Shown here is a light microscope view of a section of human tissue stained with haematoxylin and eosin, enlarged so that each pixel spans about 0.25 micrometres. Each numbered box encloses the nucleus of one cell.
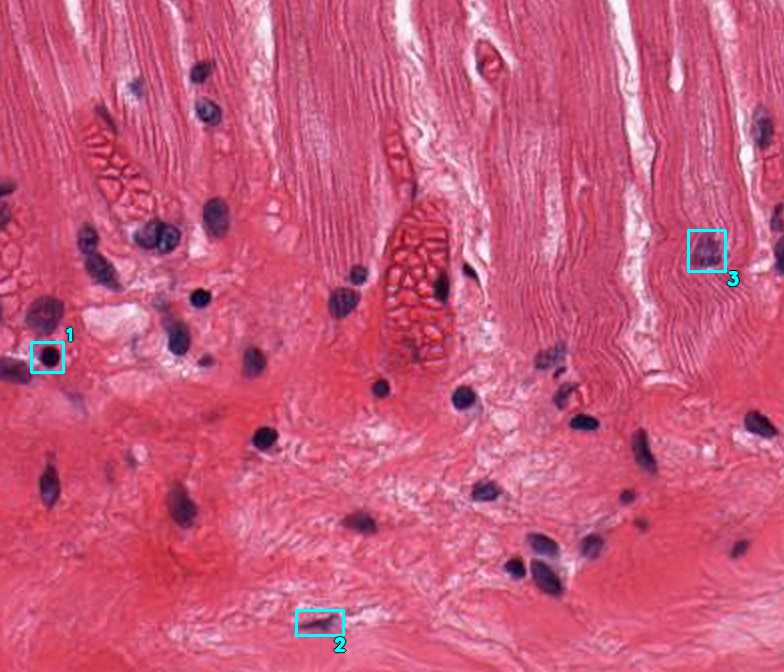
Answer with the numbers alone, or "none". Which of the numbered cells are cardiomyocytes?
3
